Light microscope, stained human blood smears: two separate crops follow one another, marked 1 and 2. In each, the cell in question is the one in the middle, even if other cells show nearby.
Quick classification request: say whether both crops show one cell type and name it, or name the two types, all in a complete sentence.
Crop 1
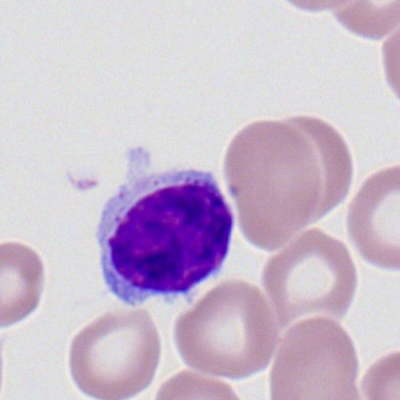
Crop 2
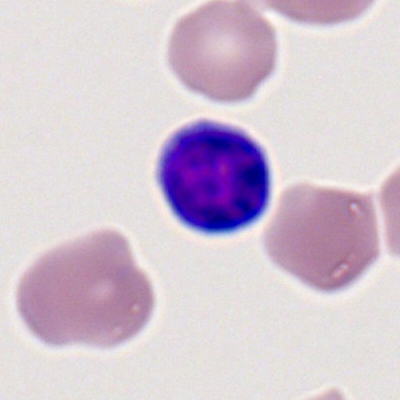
Yes, the cells under consideration in both crops are lymphocytes.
